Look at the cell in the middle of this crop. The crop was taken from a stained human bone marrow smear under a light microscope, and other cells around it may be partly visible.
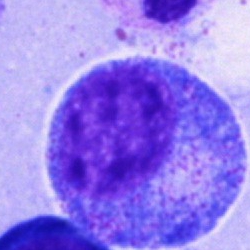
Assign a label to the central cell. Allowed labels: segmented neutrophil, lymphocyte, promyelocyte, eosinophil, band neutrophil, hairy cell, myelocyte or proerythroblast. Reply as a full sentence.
Standing at the centre of this crop is a promyelocyte.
